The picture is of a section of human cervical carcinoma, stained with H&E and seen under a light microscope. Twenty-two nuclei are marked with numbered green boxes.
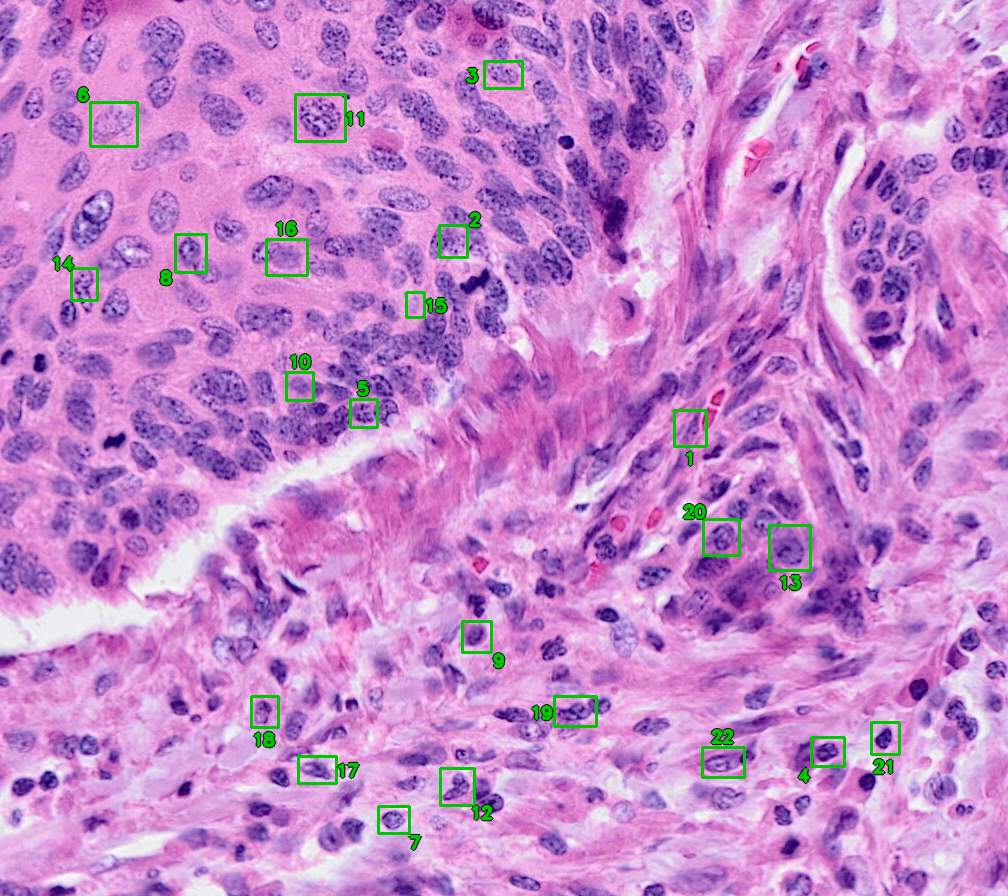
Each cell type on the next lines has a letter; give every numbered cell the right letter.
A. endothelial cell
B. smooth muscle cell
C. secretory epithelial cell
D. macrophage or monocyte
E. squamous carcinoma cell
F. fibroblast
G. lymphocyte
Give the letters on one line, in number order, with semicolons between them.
A; E; E; G; E; E; G; E; G; E; E; G; E; E; E; E; G; D; G; E; G; A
